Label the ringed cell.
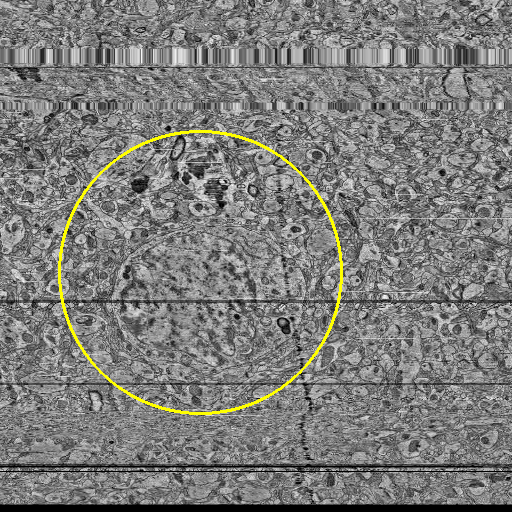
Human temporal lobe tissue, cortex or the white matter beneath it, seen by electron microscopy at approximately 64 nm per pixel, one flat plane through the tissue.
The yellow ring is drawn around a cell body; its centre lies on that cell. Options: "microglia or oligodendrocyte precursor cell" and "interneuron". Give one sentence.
The ringed cell is an interneuron.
